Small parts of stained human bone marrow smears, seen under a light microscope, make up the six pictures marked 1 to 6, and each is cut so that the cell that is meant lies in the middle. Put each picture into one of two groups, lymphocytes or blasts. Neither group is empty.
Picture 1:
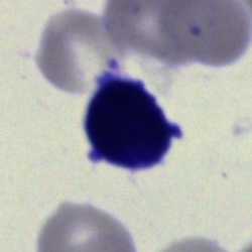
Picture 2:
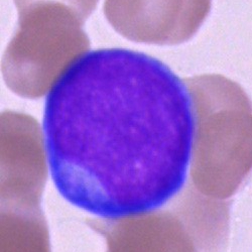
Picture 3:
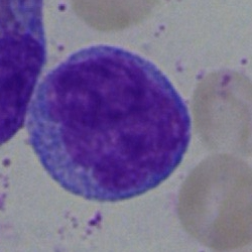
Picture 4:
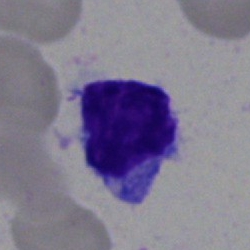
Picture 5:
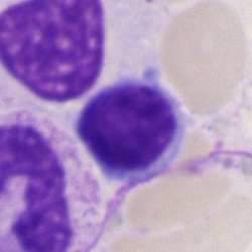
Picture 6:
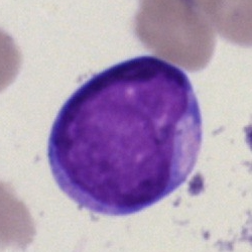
1: lymphocyte
2: blast
3: blast
4: lymphocyte
5: lymphocyte
6: blast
